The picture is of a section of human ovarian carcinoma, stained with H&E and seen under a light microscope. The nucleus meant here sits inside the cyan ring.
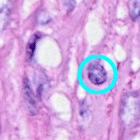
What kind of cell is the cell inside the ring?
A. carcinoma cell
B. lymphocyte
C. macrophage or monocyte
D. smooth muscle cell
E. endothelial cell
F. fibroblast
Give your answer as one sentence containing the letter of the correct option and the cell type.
Identified correctly by option C, the cell inside the ring is a macrophage or monocyte.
